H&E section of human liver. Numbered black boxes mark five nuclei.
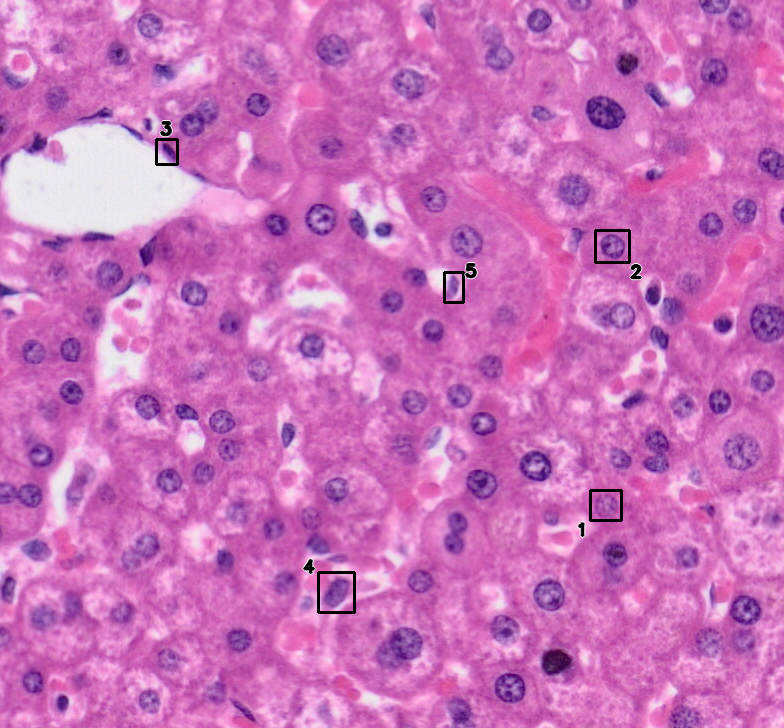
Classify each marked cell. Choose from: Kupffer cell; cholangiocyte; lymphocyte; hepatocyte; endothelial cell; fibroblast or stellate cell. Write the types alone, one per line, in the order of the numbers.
hepatocyte
hepatocyte
fibroblast or stellate cell
Kupffer cell
endothelial cell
